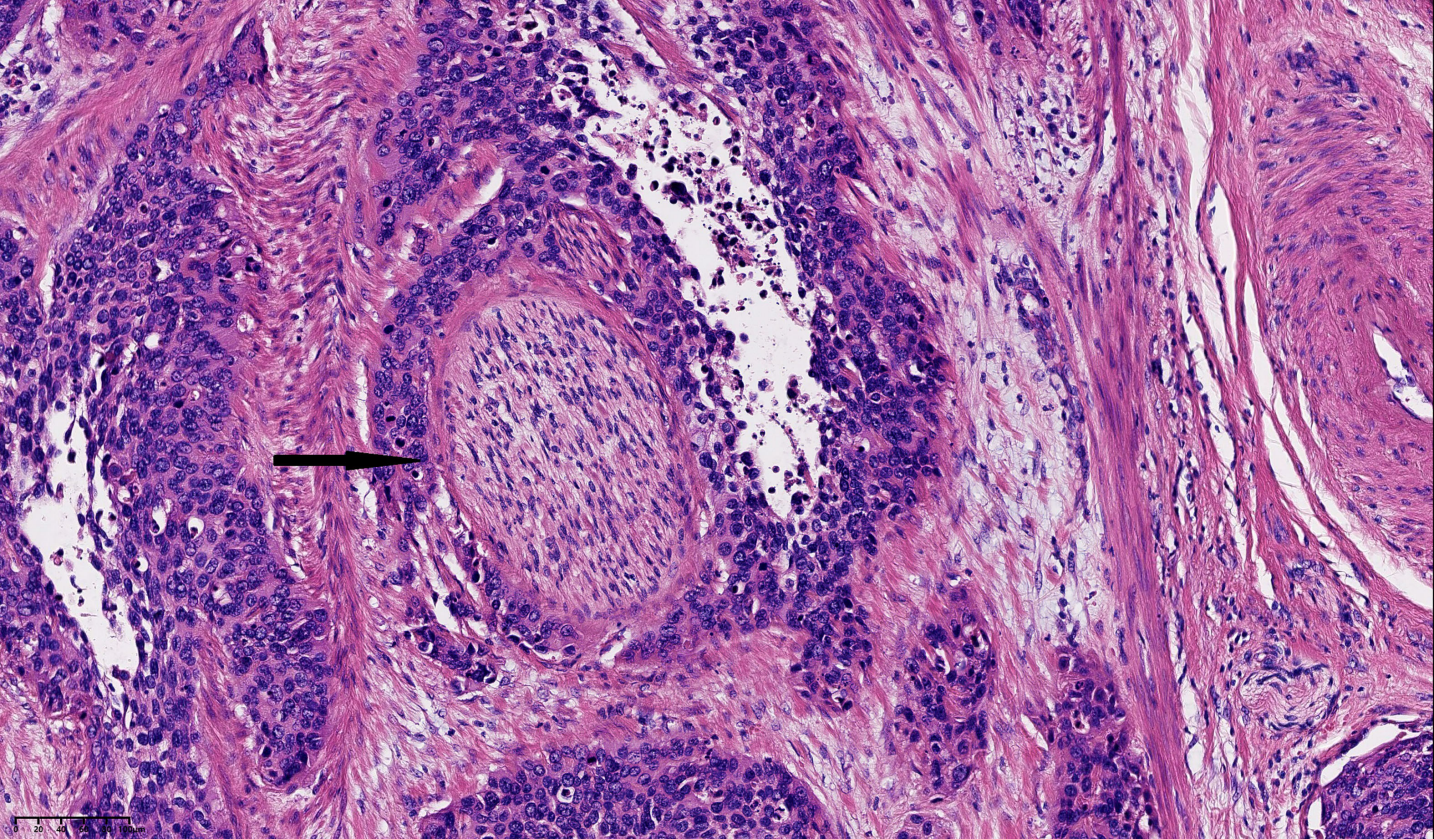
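Nests and cords of carcinoma cells with large, crowded, dark purple nuclei and scant cytoplasm infiltrate a pink fibrous and muscular stroma. In the centre a round bundle of pale pink fibres with thin, wavy, spindle-shaped nuclei is wrapped closely by a rim of tumour cells, a picture of cancer spreading around a nerve. Beside it lies a space filled with loose debris and scattered dark fragments.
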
